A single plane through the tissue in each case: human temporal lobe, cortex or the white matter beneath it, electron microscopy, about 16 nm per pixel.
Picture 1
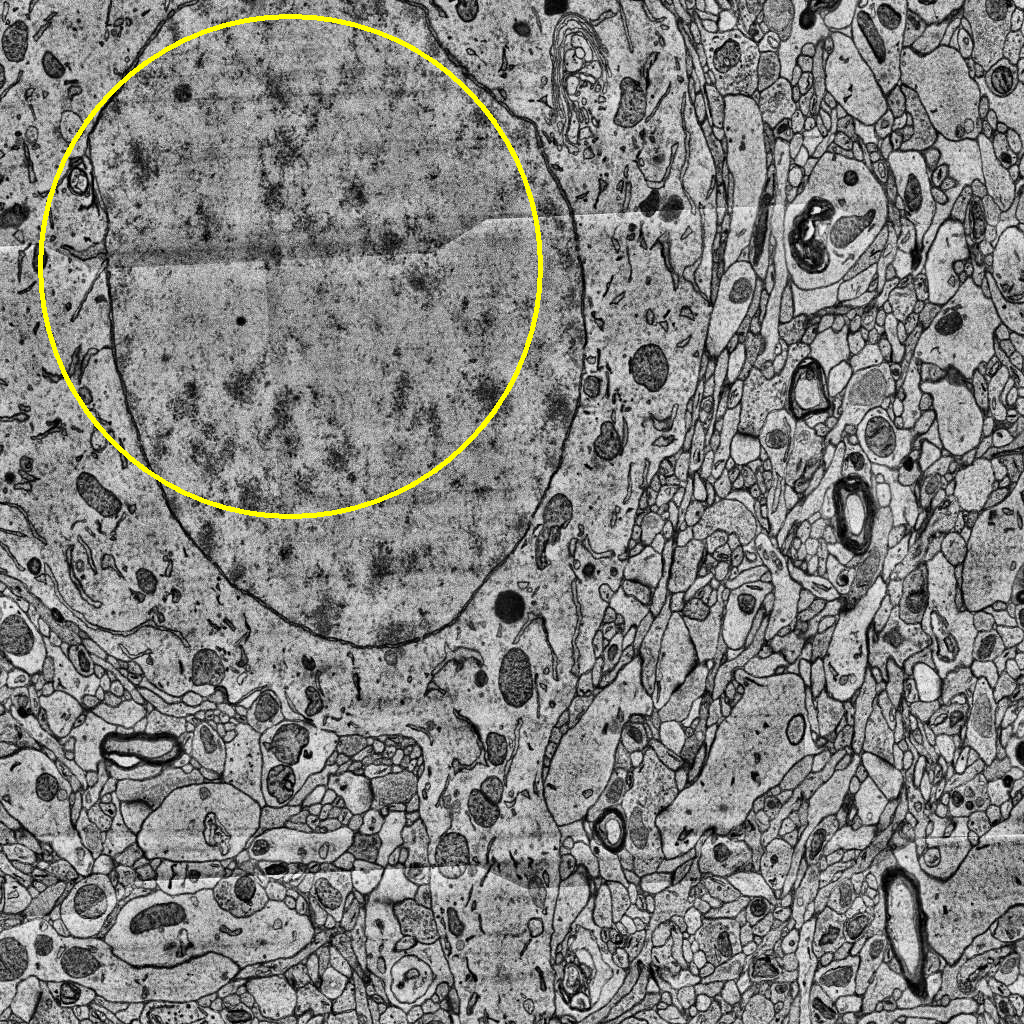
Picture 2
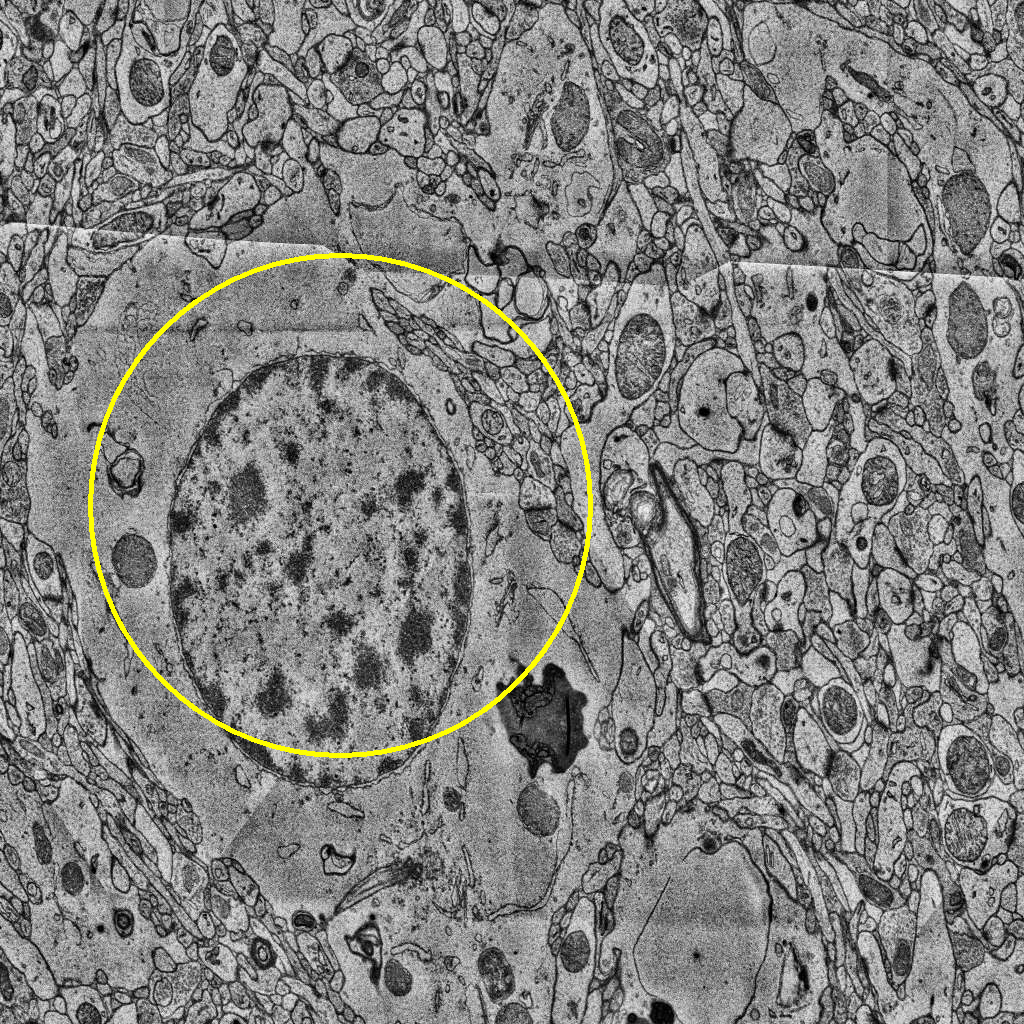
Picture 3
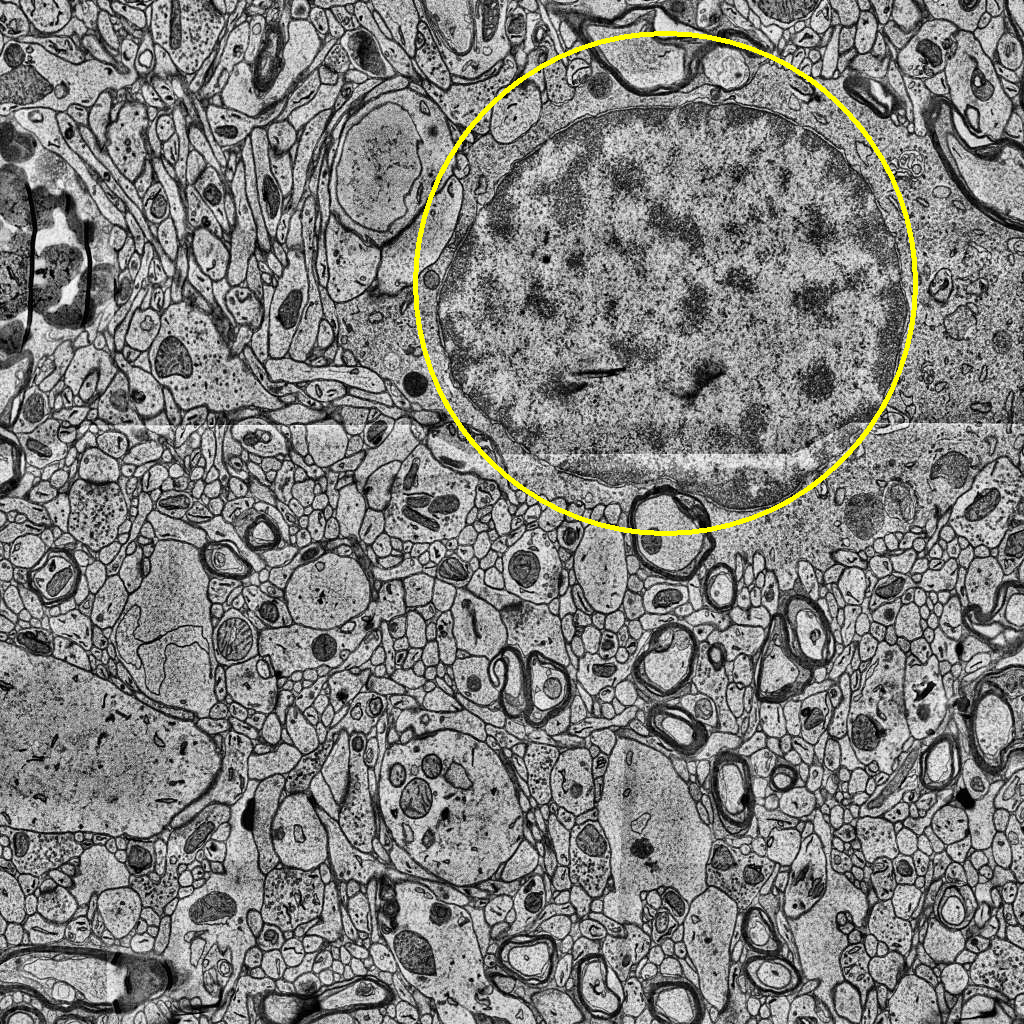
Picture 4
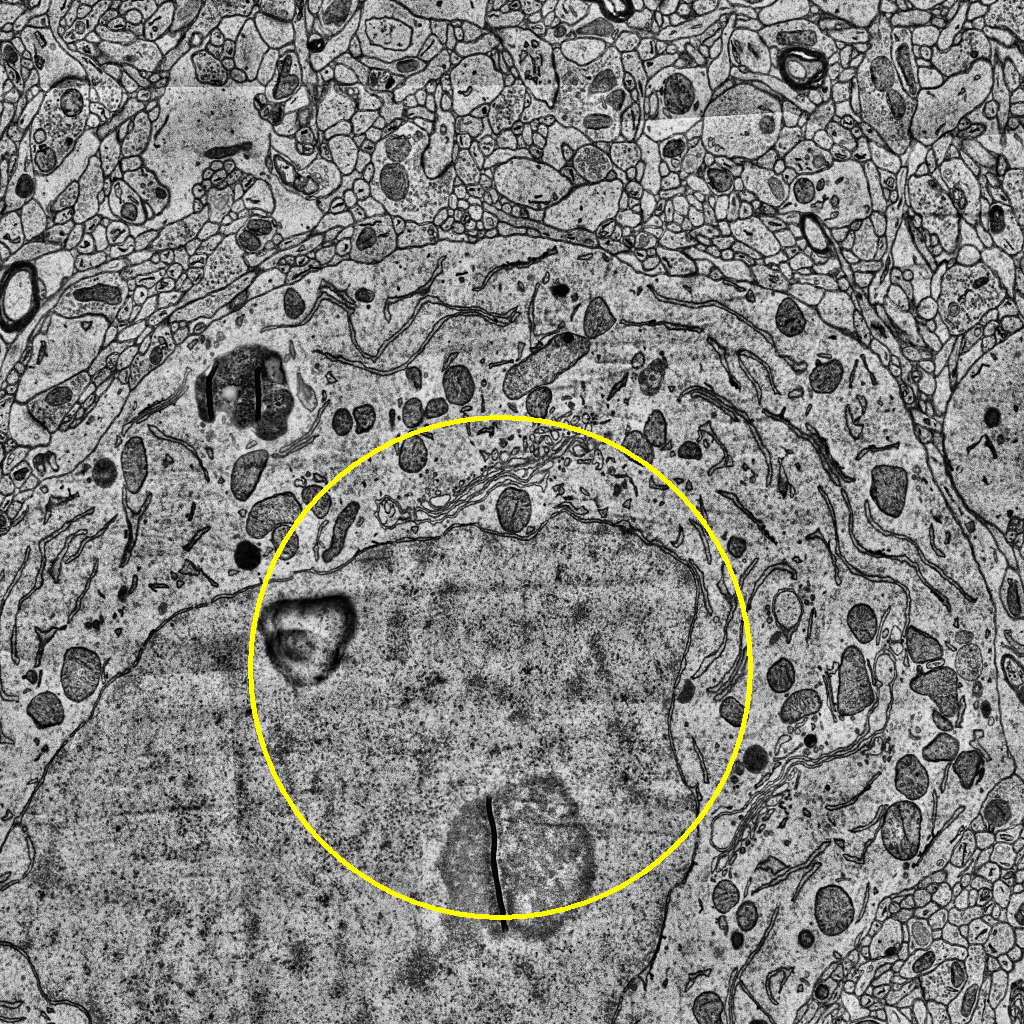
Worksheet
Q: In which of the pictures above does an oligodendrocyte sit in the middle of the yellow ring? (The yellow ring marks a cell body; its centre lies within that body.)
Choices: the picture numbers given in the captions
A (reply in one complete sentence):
In picture 3, the cell sitting at the centre of the ring is the match.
